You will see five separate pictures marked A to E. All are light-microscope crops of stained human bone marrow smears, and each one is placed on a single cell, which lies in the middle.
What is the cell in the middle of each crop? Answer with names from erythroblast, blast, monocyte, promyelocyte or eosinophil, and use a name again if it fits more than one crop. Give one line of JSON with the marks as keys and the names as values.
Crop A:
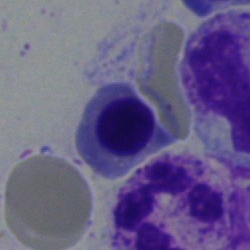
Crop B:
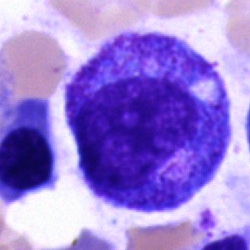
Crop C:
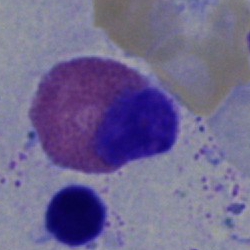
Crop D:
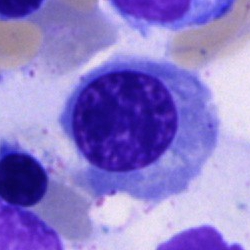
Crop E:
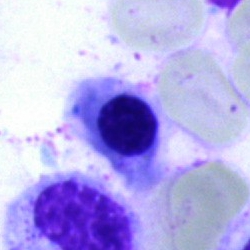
{"A": "erythroblast", "B": "promyelocyte", "C": "eosinophil", "D": "erythroblast", "E": "erythroblast"}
